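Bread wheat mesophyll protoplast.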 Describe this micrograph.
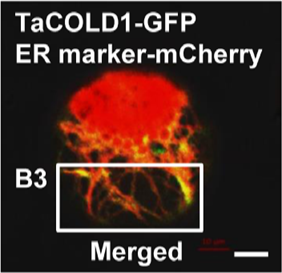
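The strands branch and join into polygonal meshes, especially clearly in the lower half of the cell. Where green and red coincide the strands appear yellow to orange, showing that the two labels lie along the same network. The upper part of the cell is filled with a denser, more diffuse red glow in which individual strands are harder to follow. A few brighter yellow patches sit along the lower right edge of the network.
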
